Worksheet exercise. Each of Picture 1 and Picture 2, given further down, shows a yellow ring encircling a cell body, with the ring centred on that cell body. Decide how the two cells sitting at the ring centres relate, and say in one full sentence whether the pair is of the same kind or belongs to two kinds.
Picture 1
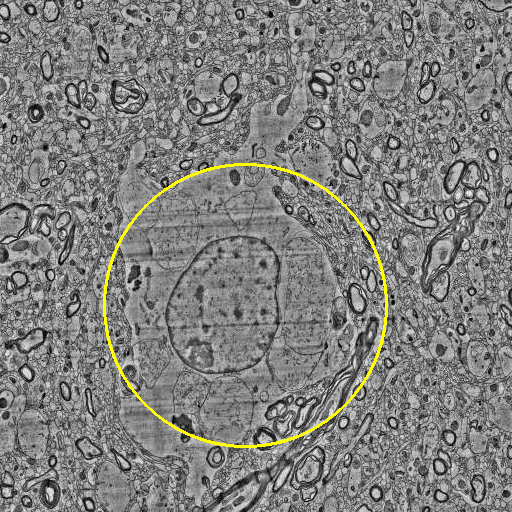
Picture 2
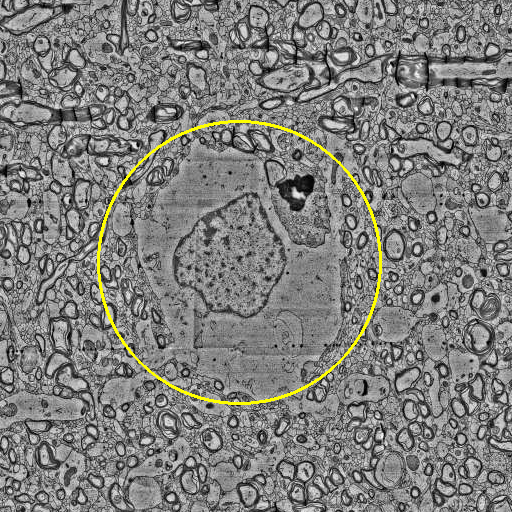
The cells at the ring centres in Picture 1 and Picture 2 are of the same kind.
